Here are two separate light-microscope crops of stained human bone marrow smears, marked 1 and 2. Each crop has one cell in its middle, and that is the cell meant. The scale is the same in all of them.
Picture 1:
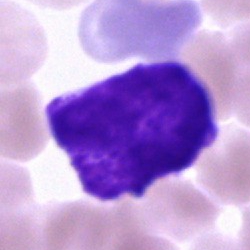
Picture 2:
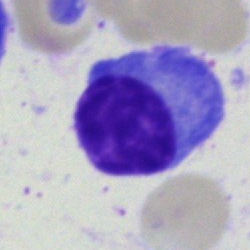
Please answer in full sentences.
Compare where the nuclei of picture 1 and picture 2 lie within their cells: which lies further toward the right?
In picture 1 the nucleus is shifted more toward the right.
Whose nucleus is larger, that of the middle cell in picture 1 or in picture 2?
Larger is the nucleus in picture 1, at roughly 2 times the area of the other.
